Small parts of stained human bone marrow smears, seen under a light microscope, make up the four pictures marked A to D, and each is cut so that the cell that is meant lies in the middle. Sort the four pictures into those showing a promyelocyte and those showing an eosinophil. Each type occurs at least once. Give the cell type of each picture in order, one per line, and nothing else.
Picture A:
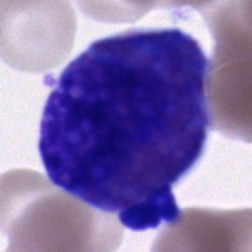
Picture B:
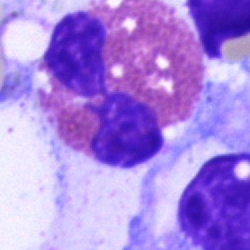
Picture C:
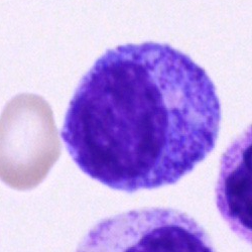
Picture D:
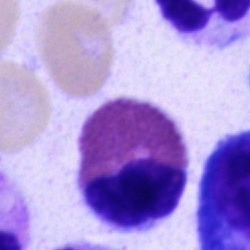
eosinophil
eosinophil
promyelocyte
eosinophil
